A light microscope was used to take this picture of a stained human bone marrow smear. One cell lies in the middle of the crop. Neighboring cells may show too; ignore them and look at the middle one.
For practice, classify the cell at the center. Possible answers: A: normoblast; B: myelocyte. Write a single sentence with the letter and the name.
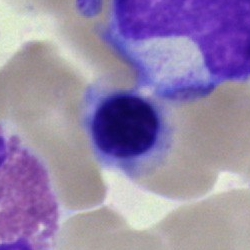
Option A is the right one, for the cell in the middle is a normoblast.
